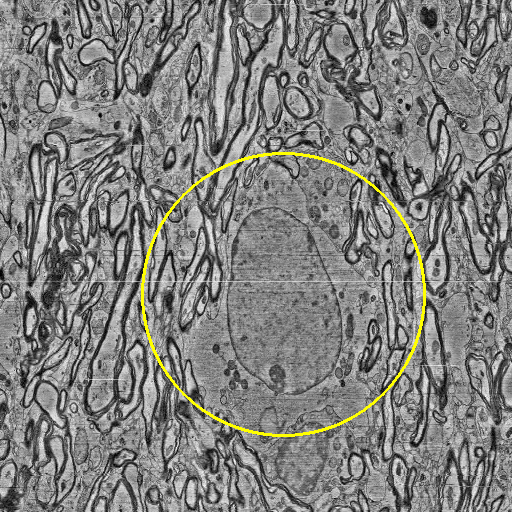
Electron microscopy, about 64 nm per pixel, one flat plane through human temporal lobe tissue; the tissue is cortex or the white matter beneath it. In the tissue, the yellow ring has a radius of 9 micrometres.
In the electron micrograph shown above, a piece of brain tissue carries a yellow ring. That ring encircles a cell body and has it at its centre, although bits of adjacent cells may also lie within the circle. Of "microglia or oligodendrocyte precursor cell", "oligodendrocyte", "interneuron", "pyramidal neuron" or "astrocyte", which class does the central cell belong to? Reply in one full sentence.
The cell body at the centre of the yellow ring belongs to an astrocyte.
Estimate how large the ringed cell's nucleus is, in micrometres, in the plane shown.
About 12 by 7 micrometres in this plane; clearly longer than it is wide.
